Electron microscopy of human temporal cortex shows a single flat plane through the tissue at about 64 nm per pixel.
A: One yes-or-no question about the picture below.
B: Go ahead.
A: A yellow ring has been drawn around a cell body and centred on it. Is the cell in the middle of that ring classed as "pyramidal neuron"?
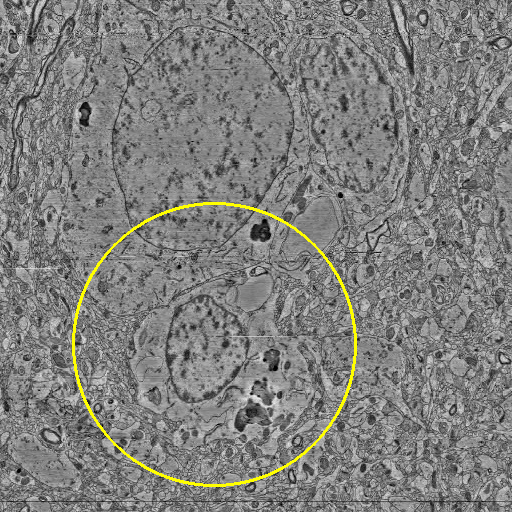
No, it is classed as another kind.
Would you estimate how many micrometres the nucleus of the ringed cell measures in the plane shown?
Roughly 7 micrometres by 5 micrometres, in this plane.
